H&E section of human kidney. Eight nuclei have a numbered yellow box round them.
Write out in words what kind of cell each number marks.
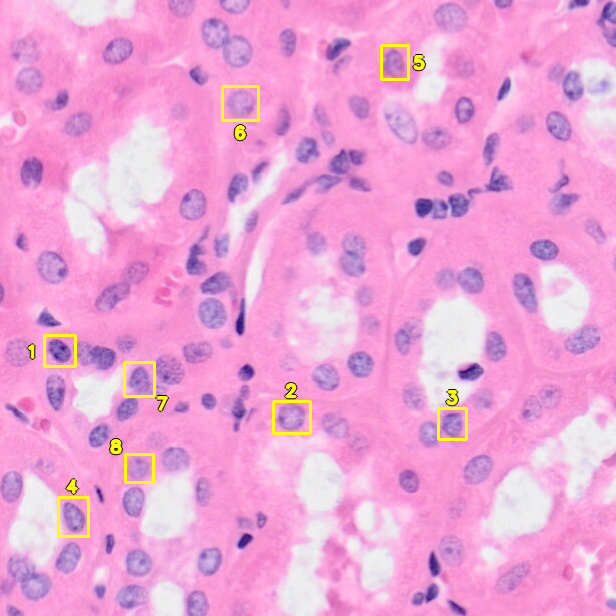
Cell 1 is a collecting duct cell, cell 2 is a proximal tubule cell, cell 3 is a loop of Henle or distal tubule cell, cell 4 is a loop of Henle or distal tubule cell, cell 5 is a proximal tubule cell, cell 6 is a proximal tubule cell, cell 7 is a collecting duct cell and cell 8 is a loop of Henle or distal tubule cell.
